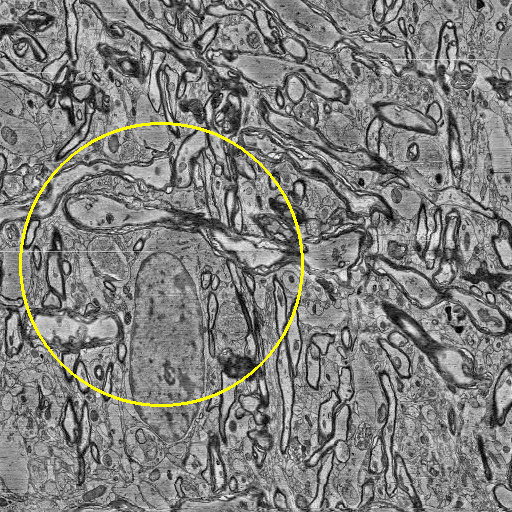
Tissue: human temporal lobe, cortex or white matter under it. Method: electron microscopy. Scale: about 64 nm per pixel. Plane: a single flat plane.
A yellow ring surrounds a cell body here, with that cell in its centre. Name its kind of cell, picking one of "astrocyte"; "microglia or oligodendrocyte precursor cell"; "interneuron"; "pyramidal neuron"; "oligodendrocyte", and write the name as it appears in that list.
microglia or oligodendrocyte precursor cell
